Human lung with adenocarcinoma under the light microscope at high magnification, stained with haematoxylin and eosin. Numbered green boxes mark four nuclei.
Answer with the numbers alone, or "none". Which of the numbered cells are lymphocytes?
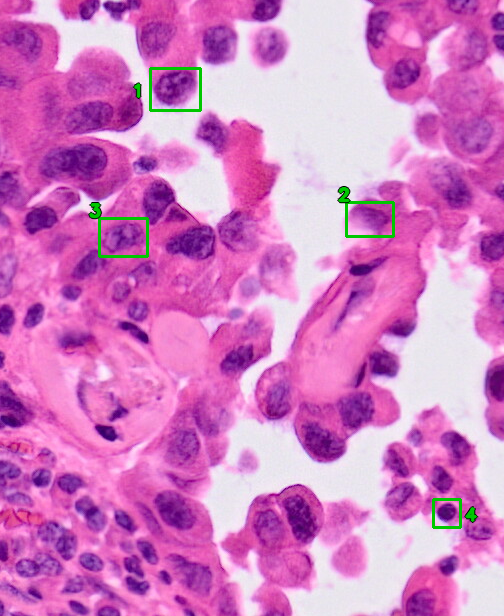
4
